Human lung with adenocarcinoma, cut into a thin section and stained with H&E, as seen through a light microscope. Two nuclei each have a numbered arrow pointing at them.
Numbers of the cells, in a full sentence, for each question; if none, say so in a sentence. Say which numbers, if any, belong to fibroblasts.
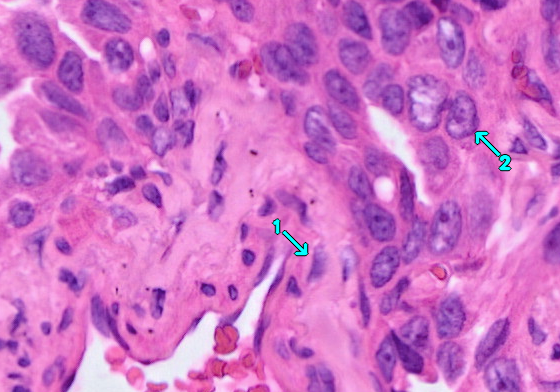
Of the cells carrying numbers, just cell 1 is a fibroblast.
